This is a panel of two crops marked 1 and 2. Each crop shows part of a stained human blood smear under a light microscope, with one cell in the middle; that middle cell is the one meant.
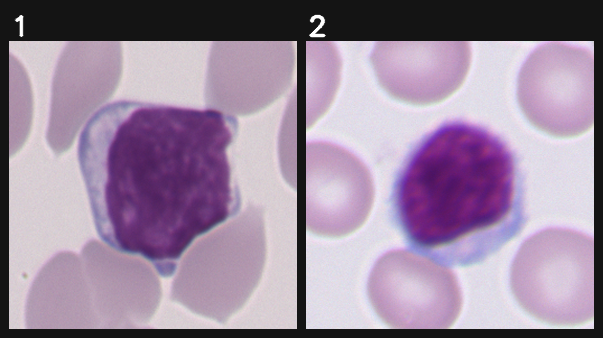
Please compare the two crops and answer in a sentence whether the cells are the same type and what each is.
Yes, both crops in the pair show typical lymphocytes.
